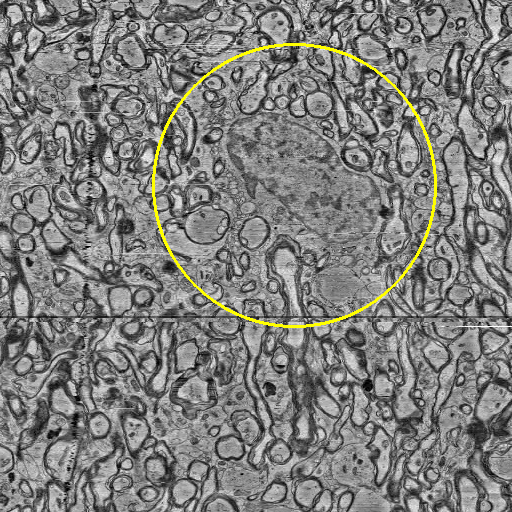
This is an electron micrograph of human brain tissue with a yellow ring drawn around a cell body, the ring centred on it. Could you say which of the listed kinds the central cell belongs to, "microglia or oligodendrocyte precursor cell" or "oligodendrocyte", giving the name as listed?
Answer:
oligodendrocyte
